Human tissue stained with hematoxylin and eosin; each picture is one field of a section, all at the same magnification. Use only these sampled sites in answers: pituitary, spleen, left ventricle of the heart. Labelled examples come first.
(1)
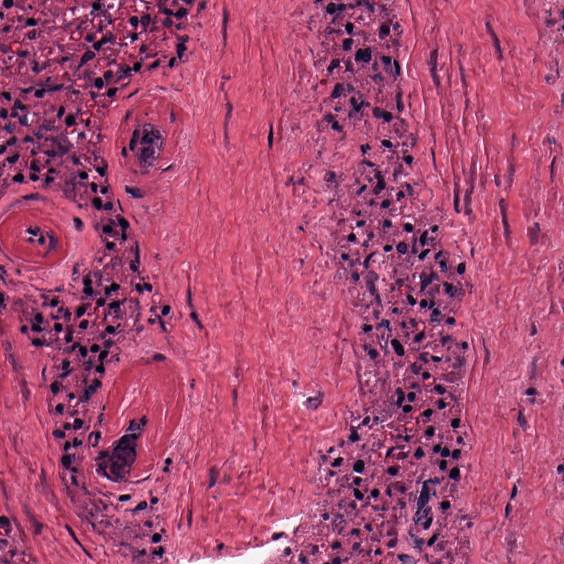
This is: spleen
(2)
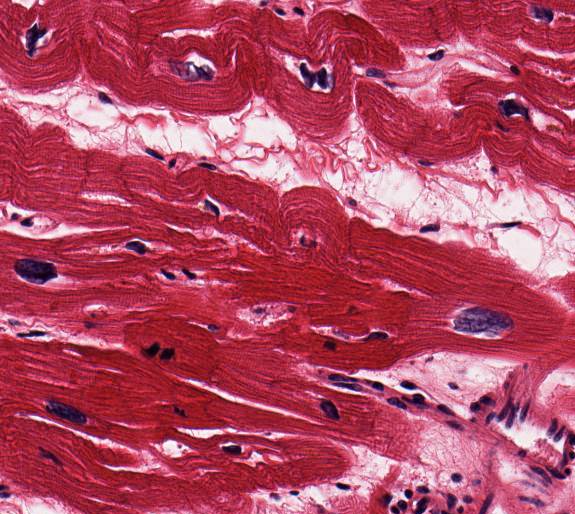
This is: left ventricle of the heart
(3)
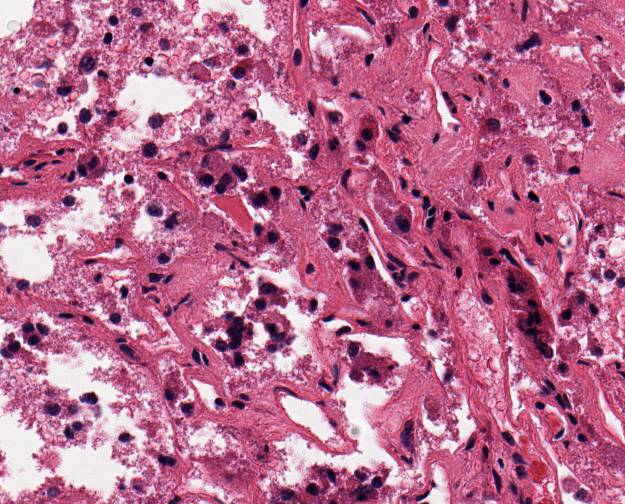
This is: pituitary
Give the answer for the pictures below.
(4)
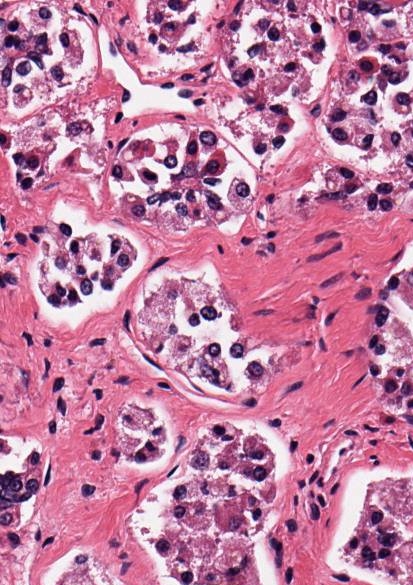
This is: pituitary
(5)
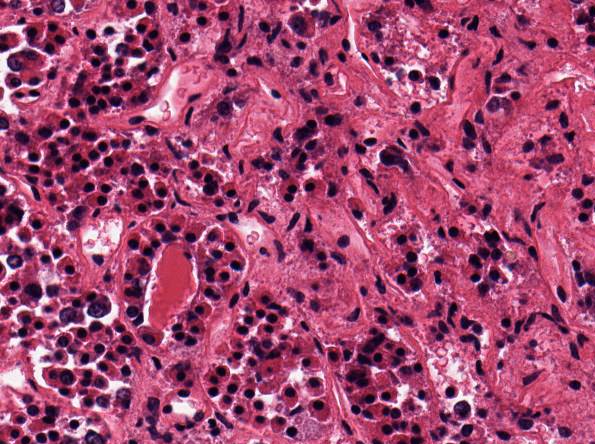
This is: pituitary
